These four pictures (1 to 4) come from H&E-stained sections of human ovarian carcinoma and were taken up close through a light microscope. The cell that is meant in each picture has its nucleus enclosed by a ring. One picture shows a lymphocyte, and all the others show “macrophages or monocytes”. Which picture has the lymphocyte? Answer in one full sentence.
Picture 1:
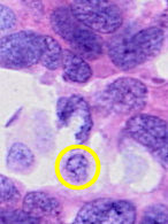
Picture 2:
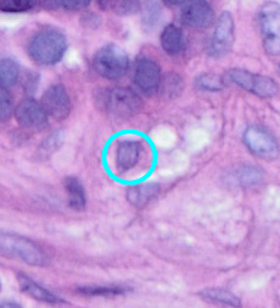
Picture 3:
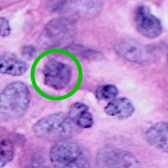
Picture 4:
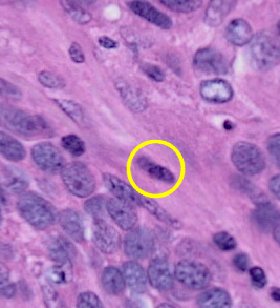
The lymphocyte is the one in picture 4.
